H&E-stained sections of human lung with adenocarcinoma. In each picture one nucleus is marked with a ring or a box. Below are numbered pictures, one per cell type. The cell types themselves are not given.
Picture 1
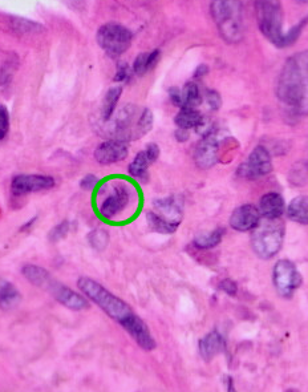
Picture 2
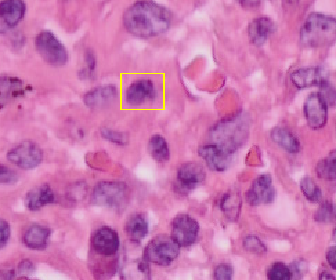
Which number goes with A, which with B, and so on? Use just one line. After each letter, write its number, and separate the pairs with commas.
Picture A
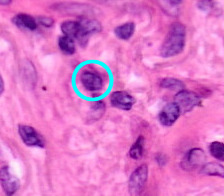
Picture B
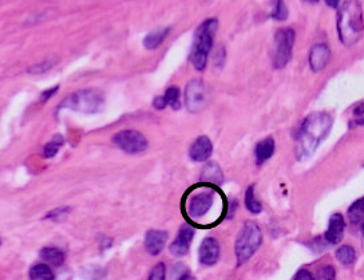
A 1, B 2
